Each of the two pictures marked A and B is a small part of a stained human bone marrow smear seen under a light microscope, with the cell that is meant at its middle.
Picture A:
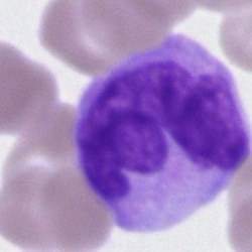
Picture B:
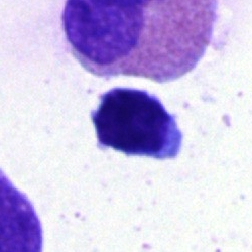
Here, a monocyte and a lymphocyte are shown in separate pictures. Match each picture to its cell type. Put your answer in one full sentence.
In picture A the cell is a monocyte; in picture B, a lymphocyte.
